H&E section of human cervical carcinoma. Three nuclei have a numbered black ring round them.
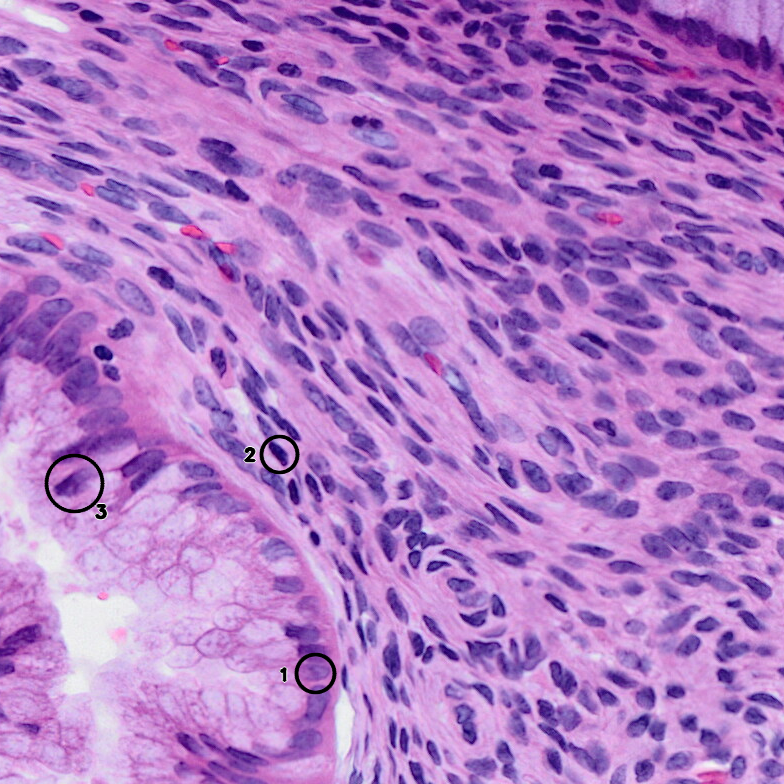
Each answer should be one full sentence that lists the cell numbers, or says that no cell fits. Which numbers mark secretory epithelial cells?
Cells that were given the numbers 1 and 3 are secretory epithelial cells.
